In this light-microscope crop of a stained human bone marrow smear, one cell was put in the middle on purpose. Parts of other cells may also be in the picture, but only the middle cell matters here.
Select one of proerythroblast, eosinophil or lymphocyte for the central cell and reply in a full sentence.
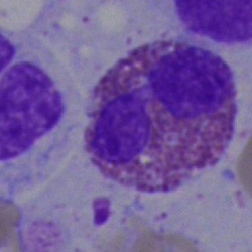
Located at the centre of the crop is an eosinophil.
